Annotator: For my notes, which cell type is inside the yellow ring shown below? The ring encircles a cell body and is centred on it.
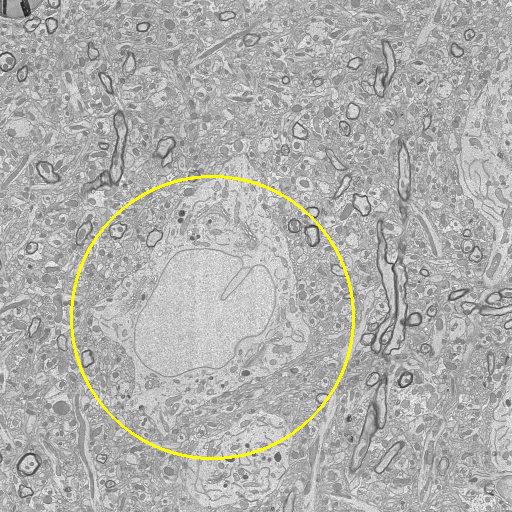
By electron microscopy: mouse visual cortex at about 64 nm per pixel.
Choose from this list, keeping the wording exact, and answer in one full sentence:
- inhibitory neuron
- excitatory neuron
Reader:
At the centre of the yellow ring there is an excitatory neuron, as shown in the picture.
